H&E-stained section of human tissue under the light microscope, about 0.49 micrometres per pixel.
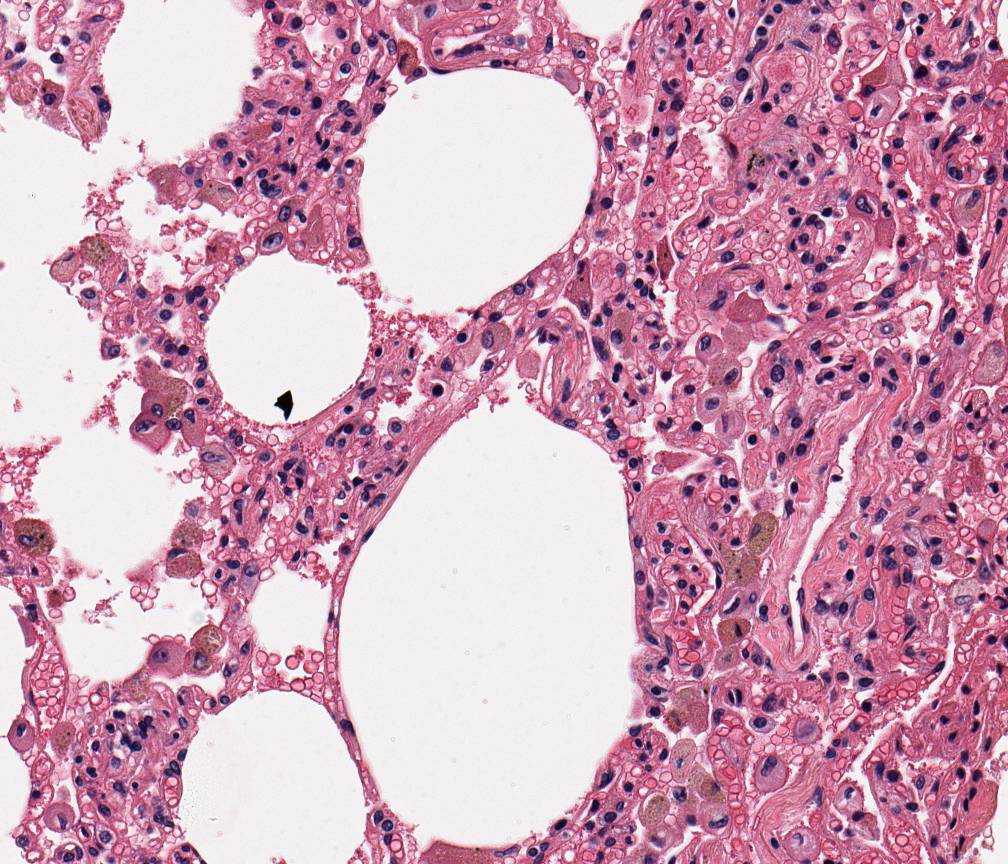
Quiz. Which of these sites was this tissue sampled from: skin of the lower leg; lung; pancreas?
lung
